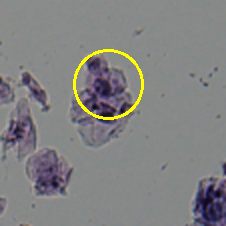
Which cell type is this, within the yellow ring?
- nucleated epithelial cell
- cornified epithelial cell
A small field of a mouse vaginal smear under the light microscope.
Within the ring is a nucleated epithelial cell.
